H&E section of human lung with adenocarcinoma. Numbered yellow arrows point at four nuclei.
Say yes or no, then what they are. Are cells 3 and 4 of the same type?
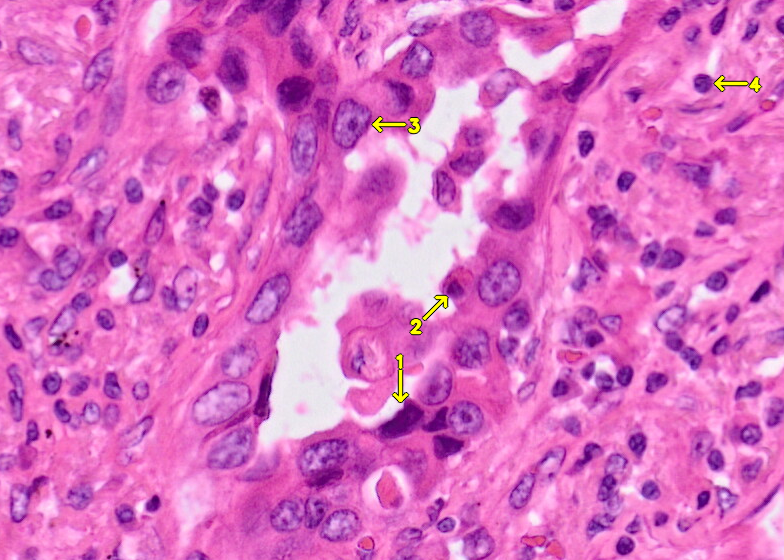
No, cell 3 is interpreted as a carcinoma cell, and cell 4 is interpreted as a lymphocyte.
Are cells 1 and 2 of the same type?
Yes, both of cells 1 and 2 are carcinoma cells.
